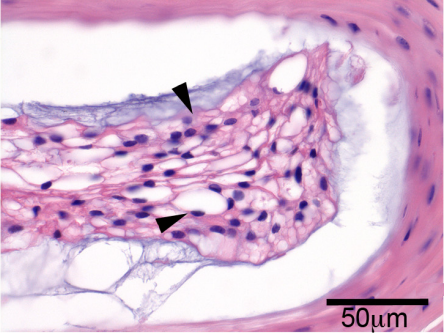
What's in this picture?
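This high magnification of the nucleus pulposus shows a central cluster of notochordal cells with large clear vacuoles separated by a pink, web-like cytoplasm. Their nuclei are small, dark purple and oval, and a thin pale bluish layer of matrix borders the cluster. The cluster sits in an open space surrounded by concentric pink fibrous layers.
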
